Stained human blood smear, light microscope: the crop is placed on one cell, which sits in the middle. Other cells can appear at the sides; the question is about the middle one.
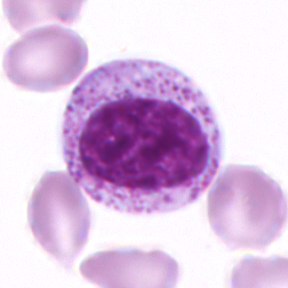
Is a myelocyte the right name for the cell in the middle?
no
